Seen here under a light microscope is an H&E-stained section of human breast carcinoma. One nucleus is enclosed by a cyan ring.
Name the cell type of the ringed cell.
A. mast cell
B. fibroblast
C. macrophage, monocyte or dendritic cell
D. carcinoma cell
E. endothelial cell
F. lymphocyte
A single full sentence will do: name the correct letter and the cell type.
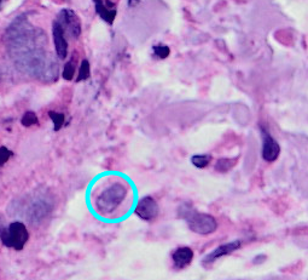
The correct identification, the ringed cell as a macrophage, monocyte or dendritic cell, is given by option C.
